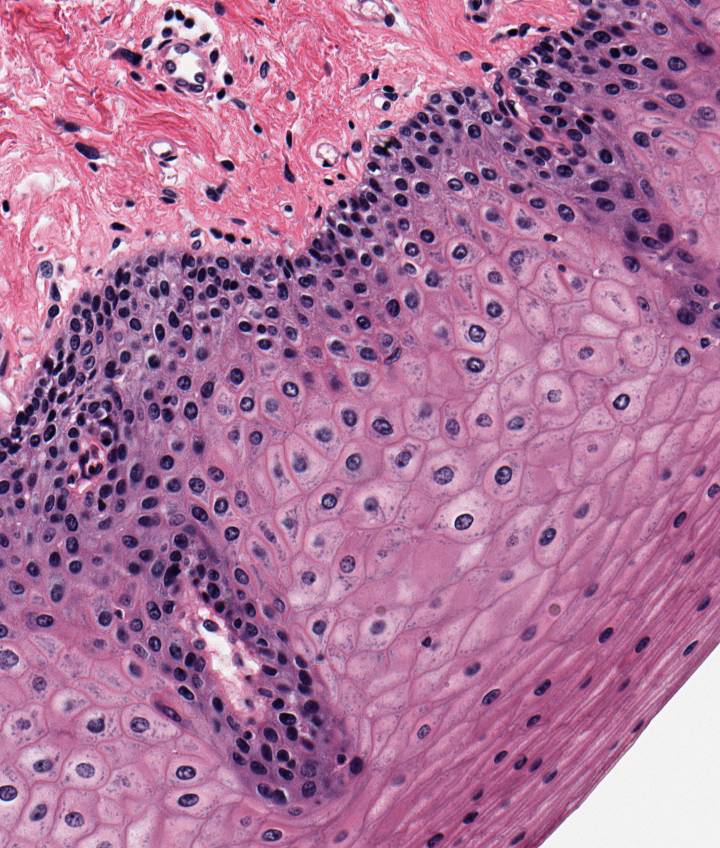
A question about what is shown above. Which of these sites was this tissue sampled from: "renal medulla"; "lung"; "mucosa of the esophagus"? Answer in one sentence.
The site this tissue was sampled from is the mucosa of the esophagus.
